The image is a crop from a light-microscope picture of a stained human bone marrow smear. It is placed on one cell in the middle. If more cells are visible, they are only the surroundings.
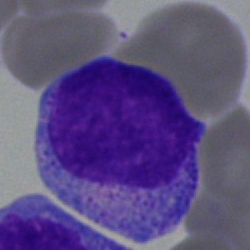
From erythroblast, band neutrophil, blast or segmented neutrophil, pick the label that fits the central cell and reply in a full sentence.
Here the cell in the middle is a blast.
